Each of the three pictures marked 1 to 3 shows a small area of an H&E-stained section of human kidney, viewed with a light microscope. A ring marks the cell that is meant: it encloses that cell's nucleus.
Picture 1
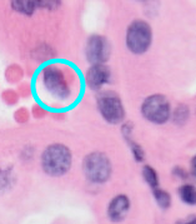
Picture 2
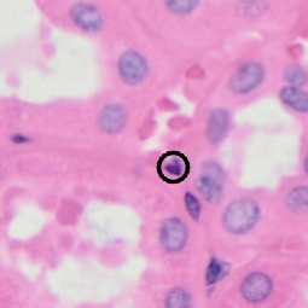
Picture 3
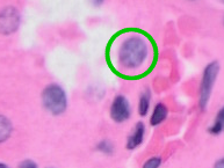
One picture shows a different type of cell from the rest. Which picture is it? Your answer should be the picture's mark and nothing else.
3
